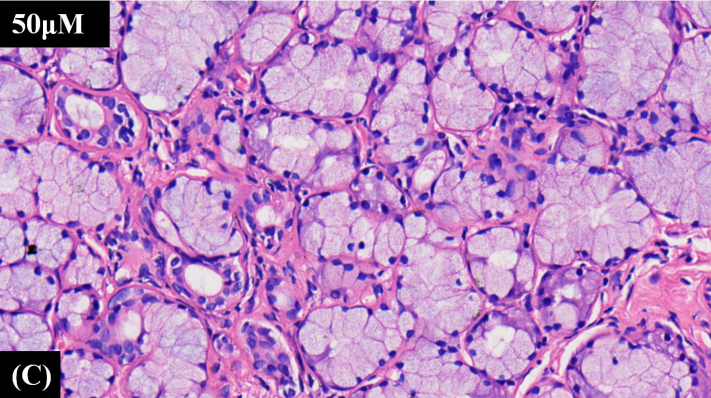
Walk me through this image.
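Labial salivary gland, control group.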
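Thin pink bands of connective tissue separate the acini, and a few small ducts lined by cuboidal cells with round nuclei lie among them. Only scattered small dark cells sit in the stroma, with no dense collection of them.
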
